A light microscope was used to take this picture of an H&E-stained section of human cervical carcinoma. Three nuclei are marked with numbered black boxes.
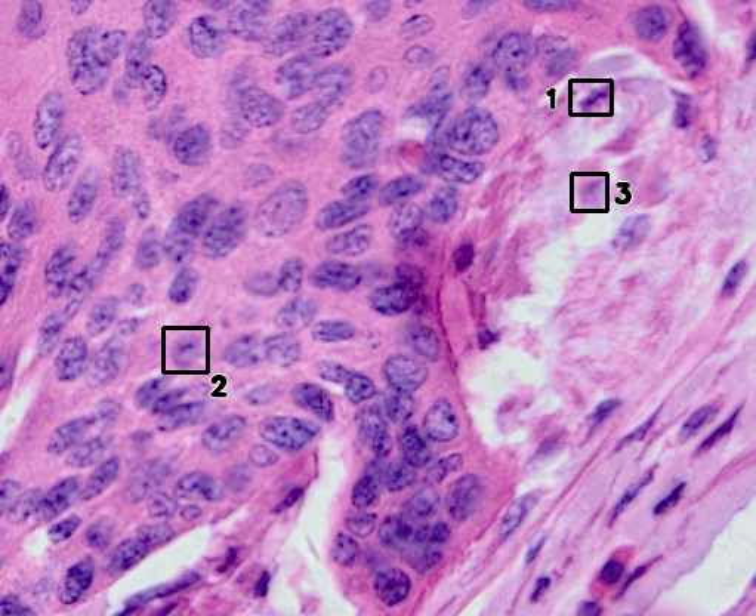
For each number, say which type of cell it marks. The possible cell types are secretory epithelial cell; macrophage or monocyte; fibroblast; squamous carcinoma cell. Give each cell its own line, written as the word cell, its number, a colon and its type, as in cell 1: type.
cell 1: fibroblast
cell 2: squamous carcinoma cell
cell 3: fibroblast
